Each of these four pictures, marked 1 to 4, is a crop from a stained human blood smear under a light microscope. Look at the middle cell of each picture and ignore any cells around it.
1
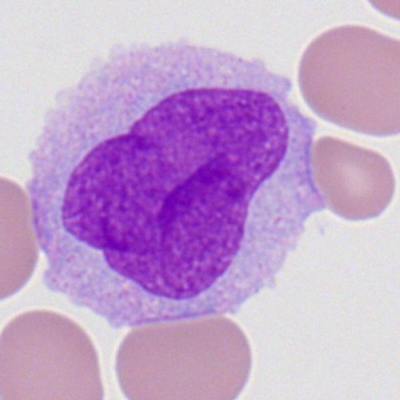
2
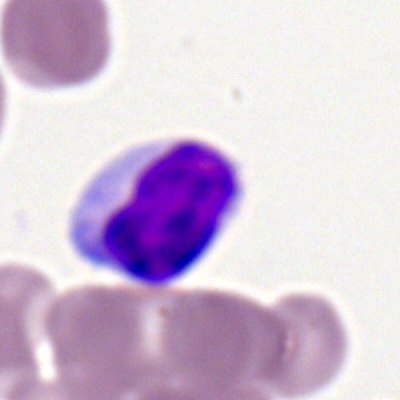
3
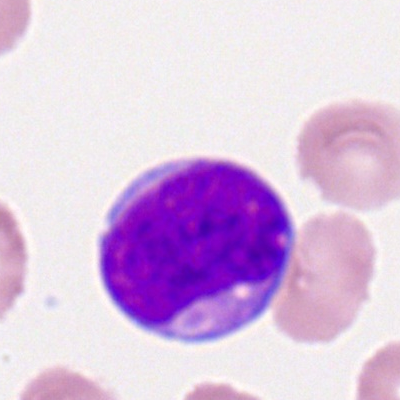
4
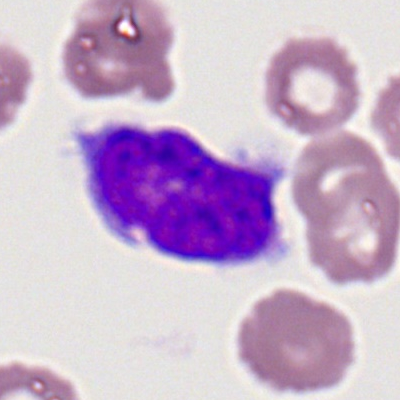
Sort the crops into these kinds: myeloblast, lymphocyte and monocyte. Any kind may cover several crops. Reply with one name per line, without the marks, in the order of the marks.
monocyte
lymphocyte
myeloblast
monocyte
